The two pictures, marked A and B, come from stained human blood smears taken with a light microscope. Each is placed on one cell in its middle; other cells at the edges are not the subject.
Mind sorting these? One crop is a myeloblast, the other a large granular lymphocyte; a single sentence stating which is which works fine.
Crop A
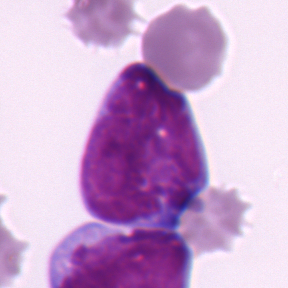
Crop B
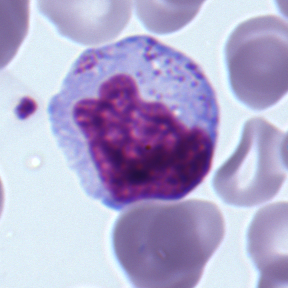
Crop A features a myeloblast, and crop B features a large granular lymphocyte.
